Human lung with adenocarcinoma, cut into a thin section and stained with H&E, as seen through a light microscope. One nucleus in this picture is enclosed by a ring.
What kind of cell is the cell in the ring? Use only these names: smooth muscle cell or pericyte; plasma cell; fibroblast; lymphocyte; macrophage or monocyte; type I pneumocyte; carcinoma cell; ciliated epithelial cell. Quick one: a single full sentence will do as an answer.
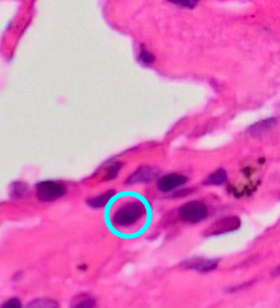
Among the cells in this section, the cell in the ring is a plasma cell.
